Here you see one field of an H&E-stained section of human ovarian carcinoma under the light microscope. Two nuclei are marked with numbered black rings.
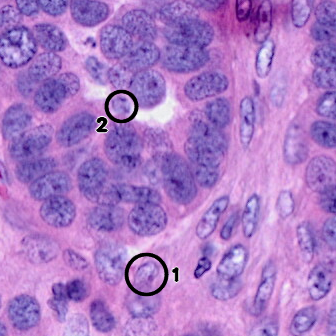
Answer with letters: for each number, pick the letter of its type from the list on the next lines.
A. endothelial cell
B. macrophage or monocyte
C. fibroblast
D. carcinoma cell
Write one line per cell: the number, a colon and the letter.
1: C
2: B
